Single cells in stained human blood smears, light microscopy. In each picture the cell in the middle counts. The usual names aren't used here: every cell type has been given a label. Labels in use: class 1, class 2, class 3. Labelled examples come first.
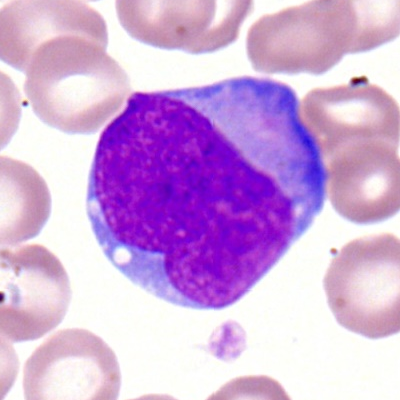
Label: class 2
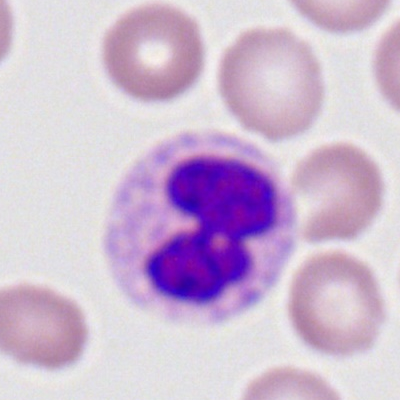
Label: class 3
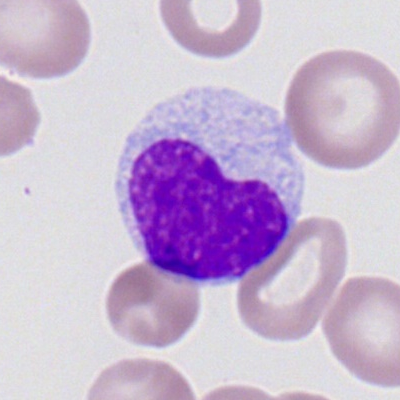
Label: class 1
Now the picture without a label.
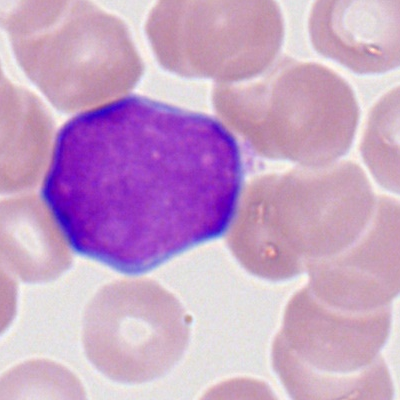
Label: class 2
